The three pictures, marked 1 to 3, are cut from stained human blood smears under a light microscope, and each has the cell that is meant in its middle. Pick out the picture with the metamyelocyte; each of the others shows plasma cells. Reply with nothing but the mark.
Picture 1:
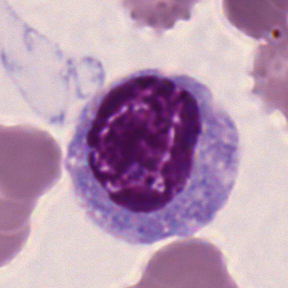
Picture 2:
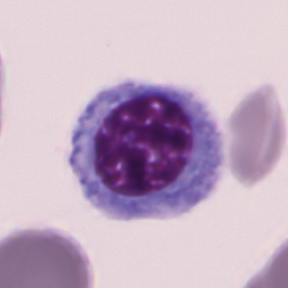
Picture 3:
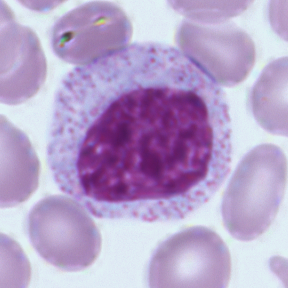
3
